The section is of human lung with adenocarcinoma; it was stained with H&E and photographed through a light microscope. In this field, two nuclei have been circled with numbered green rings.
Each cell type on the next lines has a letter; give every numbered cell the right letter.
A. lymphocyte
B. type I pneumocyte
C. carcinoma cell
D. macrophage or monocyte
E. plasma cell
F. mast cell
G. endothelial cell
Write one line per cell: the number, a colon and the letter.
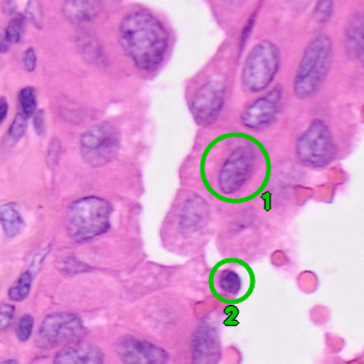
1: C
2: A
